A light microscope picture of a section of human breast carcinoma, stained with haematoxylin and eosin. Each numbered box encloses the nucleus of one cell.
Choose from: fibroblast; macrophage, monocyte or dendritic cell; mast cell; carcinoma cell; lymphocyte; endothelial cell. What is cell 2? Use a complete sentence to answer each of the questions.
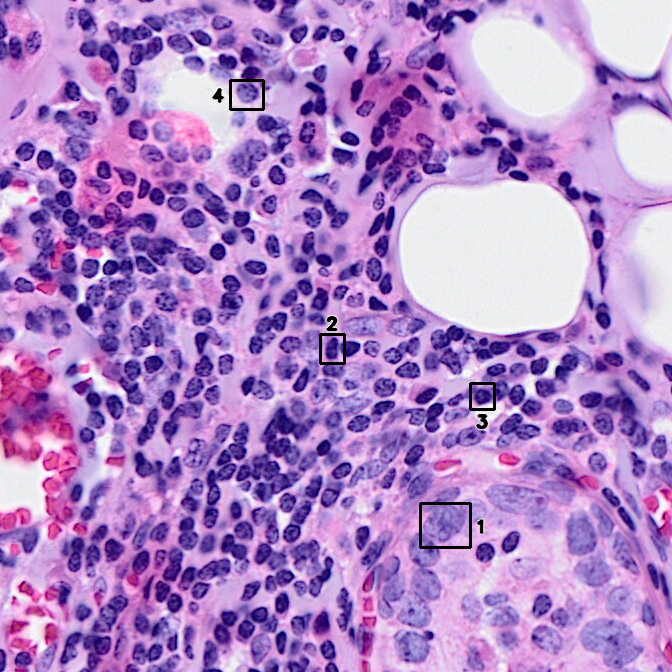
Number 2 among the marked cells is a lymphocyte.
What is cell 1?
Recognised here as a carcinoma cell is the cell numbered 1.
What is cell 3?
Looking at the numbered marks, cell 3 is a lymphocyte.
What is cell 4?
The numbered cell 4 in this field is a lymphocyte.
